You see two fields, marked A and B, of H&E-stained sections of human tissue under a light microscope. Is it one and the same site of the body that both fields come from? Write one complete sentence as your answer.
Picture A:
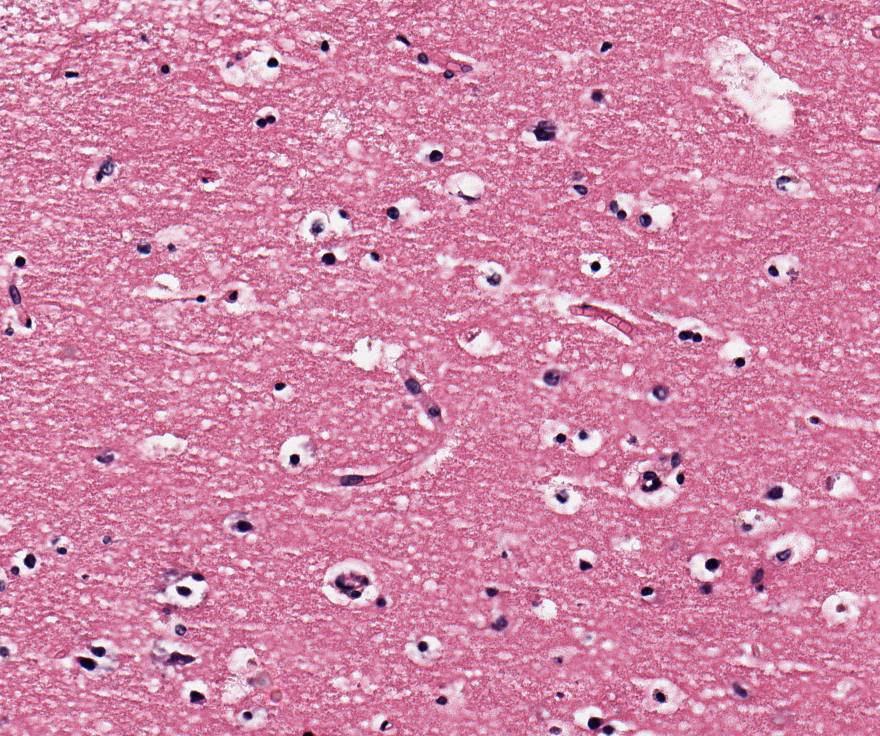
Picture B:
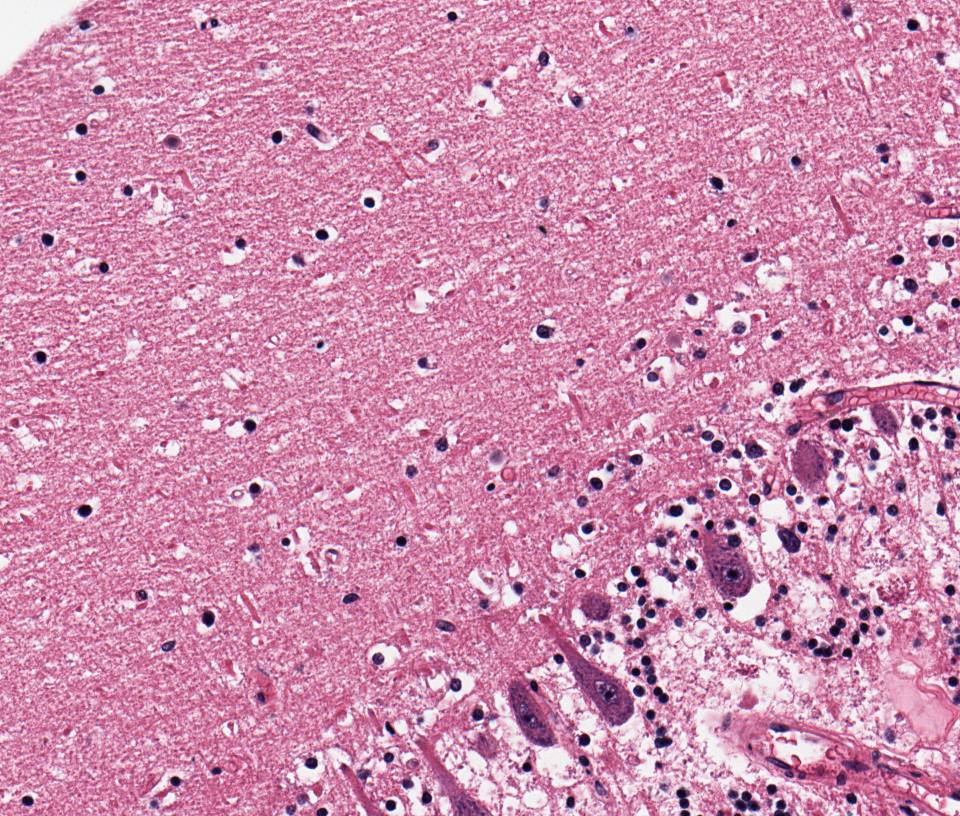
No, they differ: picture A comes from the cerebral cortex, and picture B comes from the cerebellum.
